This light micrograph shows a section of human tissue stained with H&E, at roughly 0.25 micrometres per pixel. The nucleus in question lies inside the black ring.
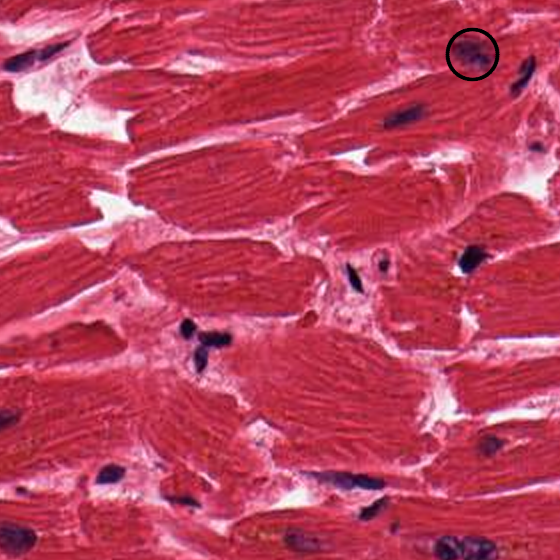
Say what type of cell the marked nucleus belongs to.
cardiomyocyte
